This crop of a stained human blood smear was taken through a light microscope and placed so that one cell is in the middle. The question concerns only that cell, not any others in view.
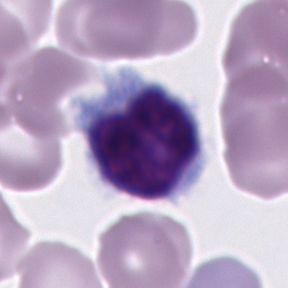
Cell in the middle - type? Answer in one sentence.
By classification, the middle cell of this crop is a hairy cell.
